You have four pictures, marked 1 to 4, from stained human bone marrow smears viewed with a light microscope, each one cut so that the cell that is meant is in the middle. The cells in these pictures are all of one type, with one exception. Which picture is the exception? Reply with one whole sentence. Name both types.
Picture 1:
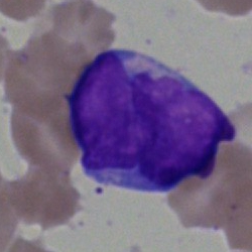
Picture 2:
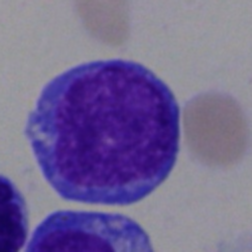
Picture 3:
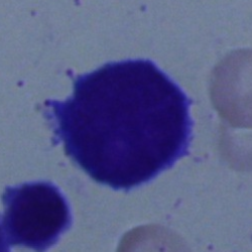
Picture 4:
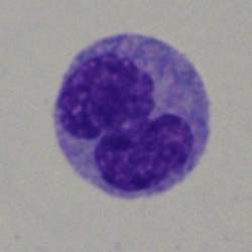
Picture 4 differs, because its cell is a monocyte and the rest are blasts.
